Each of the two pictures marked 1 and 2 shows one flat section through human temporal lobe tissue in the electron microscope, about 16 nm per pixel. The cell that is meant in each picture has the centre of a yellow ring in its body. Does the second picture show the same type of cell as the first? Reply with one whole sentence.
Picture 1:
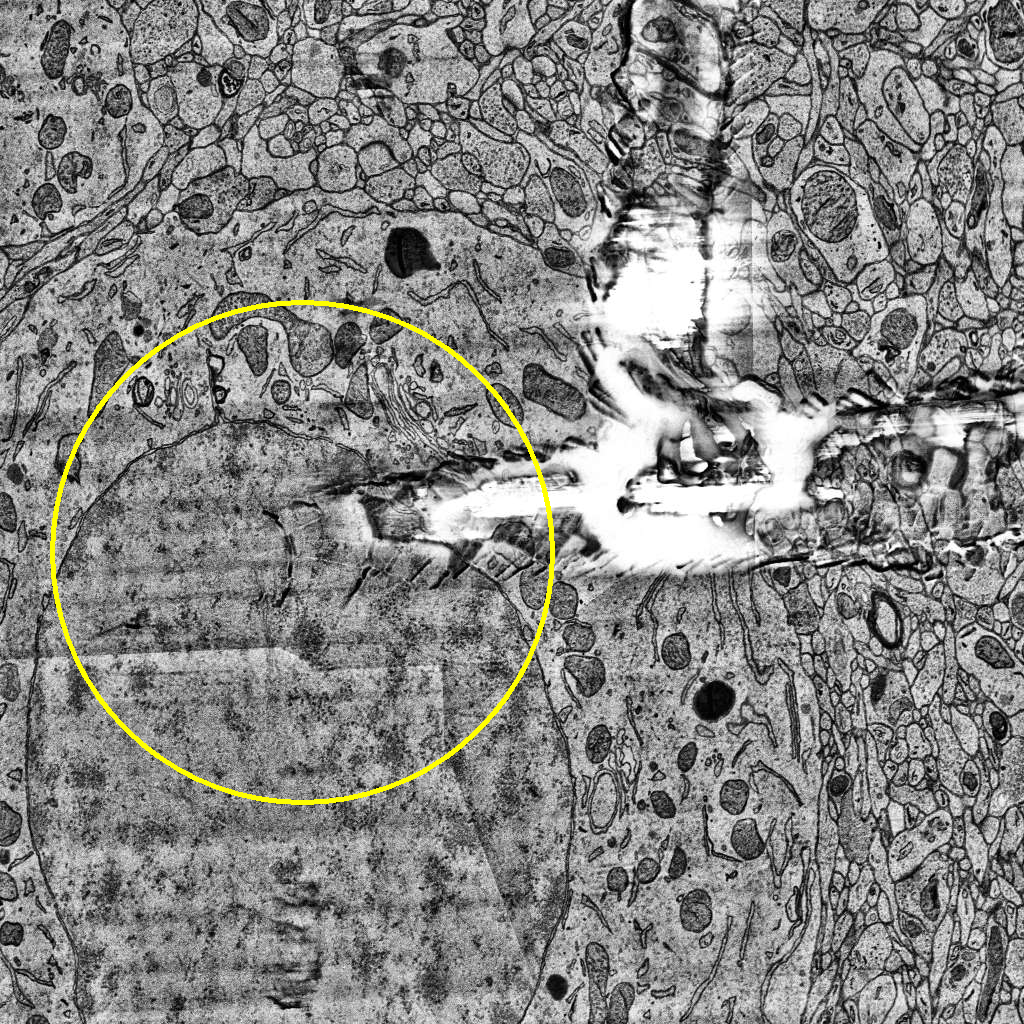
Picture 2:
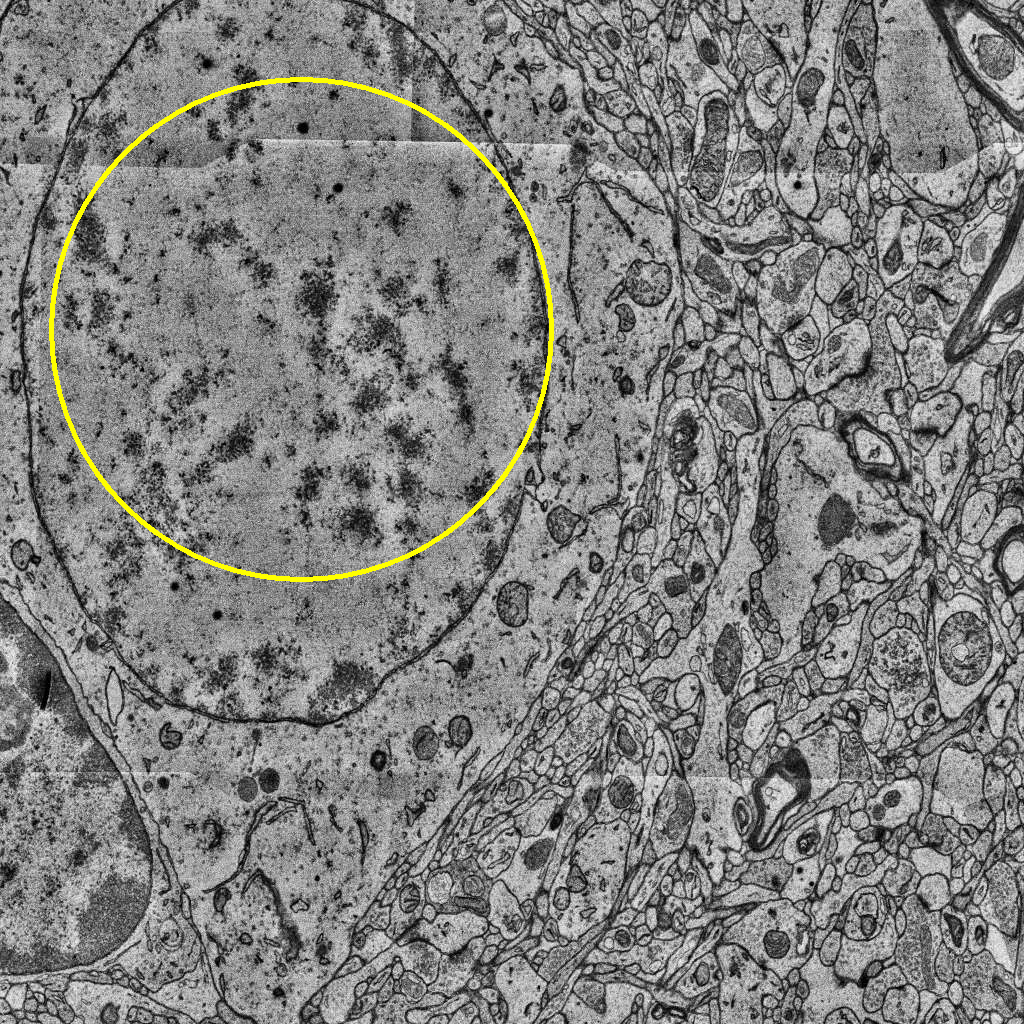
No; the cell in picture 1 is an interneuron, while the one in picture 2 is a pyramidal neuron.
